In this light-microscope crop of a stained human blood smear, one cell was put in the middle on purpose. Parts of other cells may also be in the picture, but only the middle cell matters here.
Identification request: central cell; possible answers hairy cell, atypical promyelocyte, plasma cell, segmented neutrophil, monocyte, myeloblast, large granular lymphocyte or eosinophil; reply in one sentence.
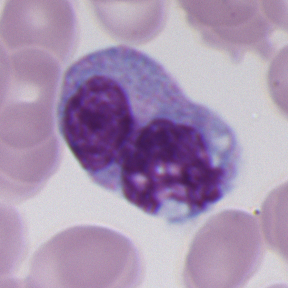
Here the centrally located cell is a monocyte.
